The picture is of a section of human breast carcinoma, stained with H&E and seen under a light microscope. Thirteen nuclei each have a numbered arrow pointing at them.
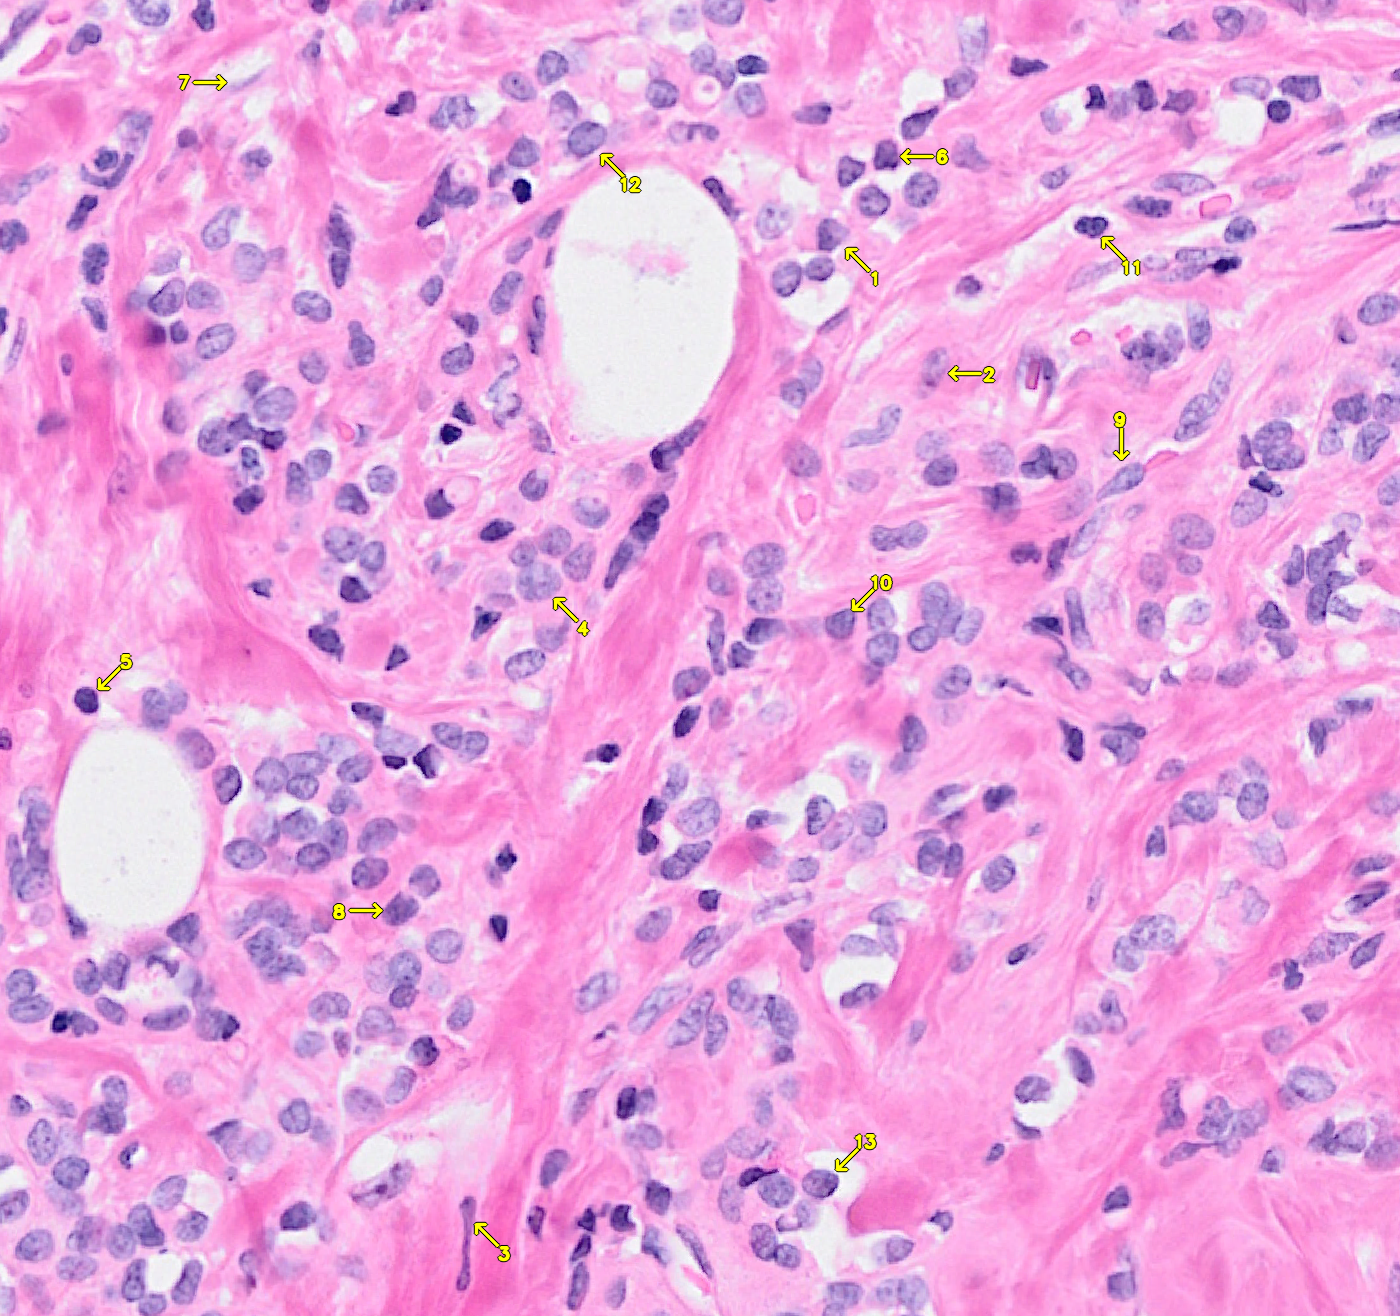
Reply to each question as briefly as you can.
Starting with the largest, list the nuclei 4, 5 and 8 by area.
4, 8, 5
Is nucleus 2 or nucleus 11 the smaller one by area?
11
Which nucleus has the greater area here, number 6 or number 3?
6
